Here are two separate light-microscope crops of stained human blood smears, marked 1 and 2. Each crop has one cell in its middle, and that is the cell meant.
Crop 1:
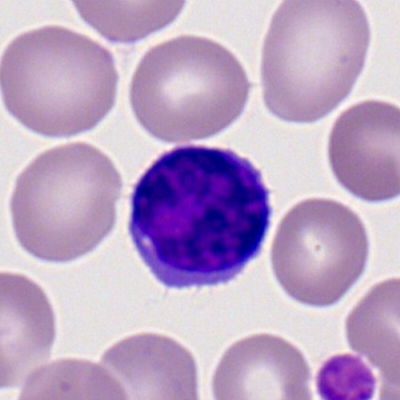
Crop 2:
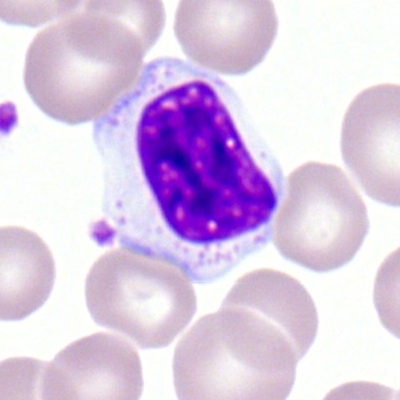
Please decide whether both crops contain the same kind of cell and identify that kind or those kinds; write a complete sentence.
Yes, both crops show lymphocytes as their central cells.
